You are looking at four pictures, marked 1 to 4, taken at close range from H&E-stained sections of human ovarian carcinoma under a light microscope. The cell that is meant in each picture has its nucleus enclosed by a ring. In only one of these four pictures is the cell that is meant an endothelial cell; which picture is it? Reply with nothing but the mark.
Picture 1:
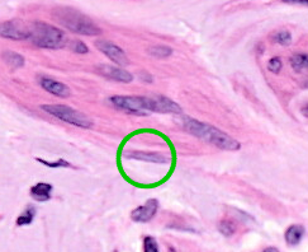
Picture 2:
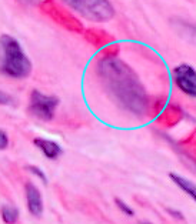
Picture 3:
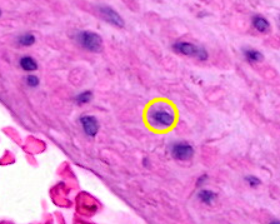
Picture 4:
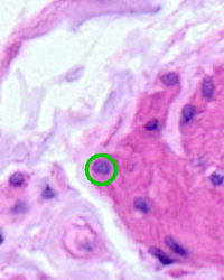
2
